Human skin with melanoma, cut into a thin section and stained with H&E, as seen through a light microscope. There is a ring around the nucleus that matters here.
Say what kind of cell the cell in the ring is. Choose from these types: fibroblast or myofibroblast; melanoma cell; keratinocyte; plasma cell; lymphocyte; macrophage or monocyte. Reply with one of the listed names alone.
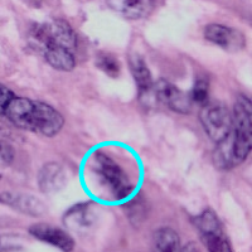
melanoma cell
